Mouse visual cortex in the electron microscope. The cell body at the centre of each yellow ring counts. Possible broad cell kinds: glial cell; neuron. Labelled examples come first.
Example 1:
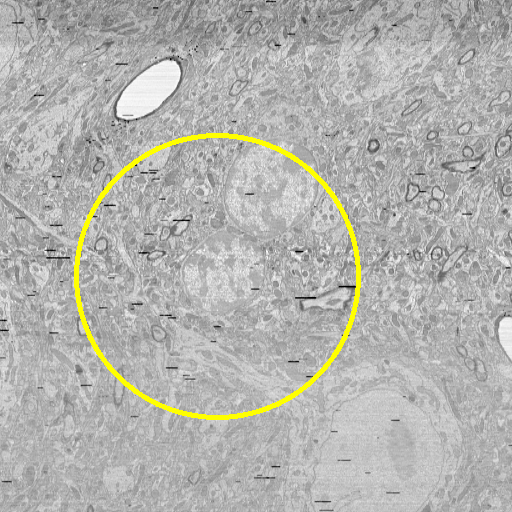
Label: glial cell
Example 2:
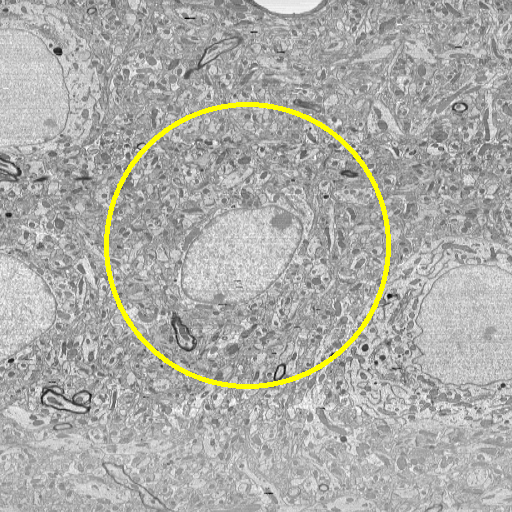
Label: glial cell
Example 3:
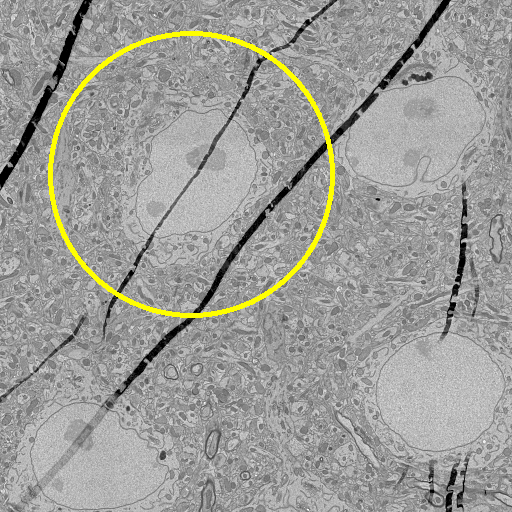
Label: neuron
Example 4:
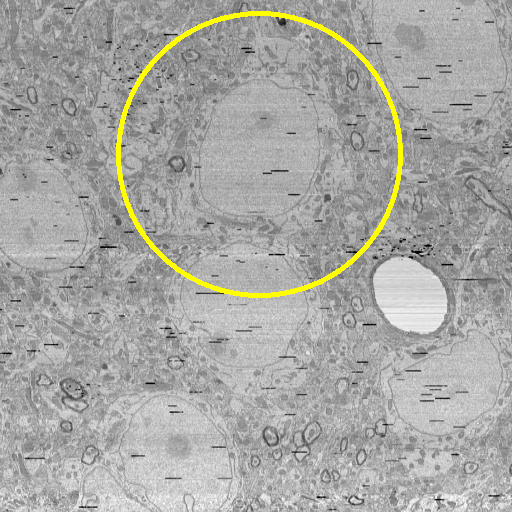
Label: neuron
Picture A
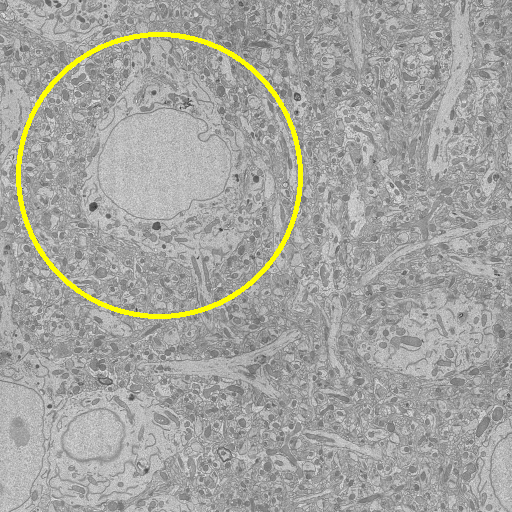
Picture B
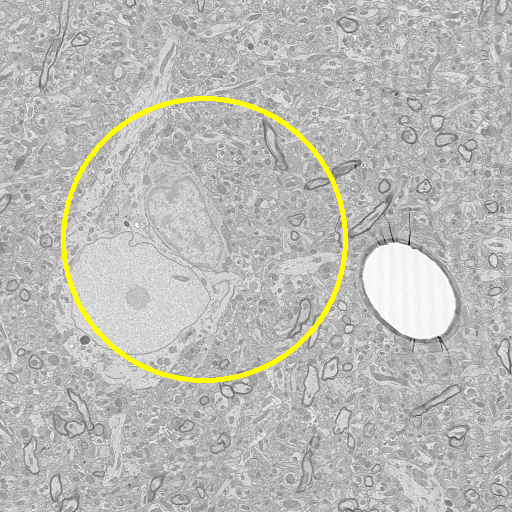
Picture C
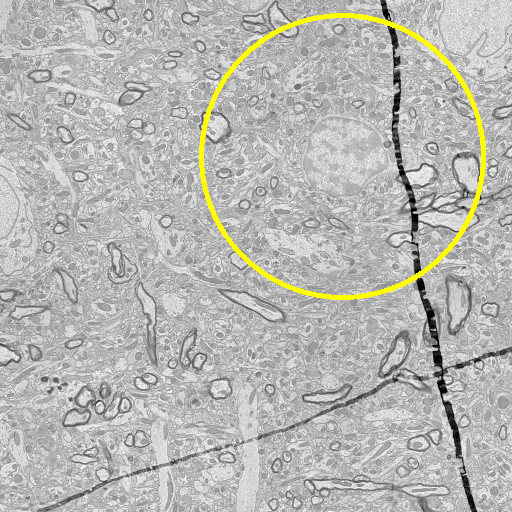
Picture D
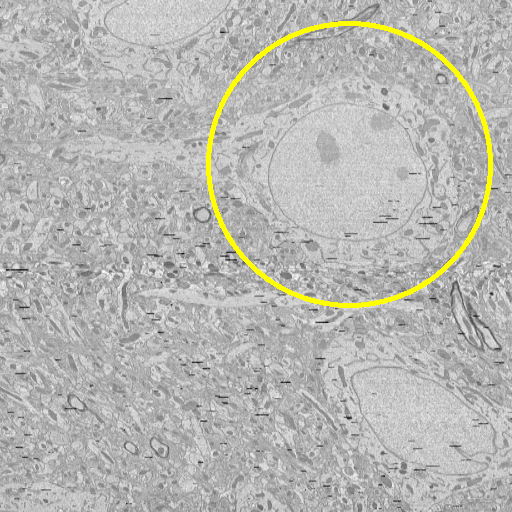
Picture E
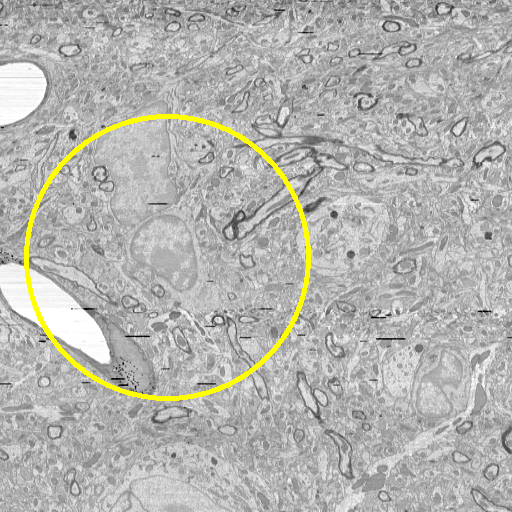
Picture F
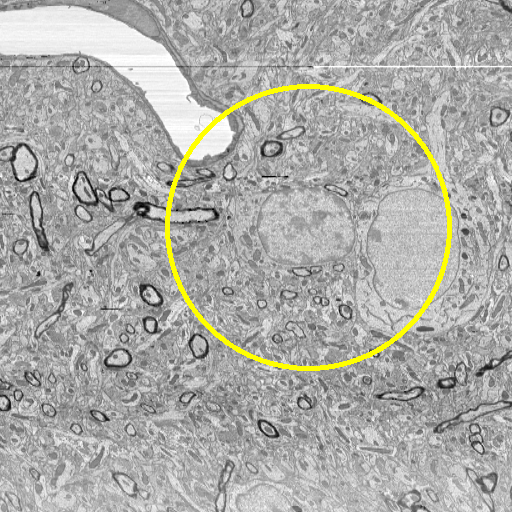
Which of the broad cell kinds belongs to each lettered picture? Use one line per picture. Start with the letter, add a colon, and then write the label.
A: neuron
B: glial cell
C: glial cell
D: neuron
E: glial cell
F: glial cell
